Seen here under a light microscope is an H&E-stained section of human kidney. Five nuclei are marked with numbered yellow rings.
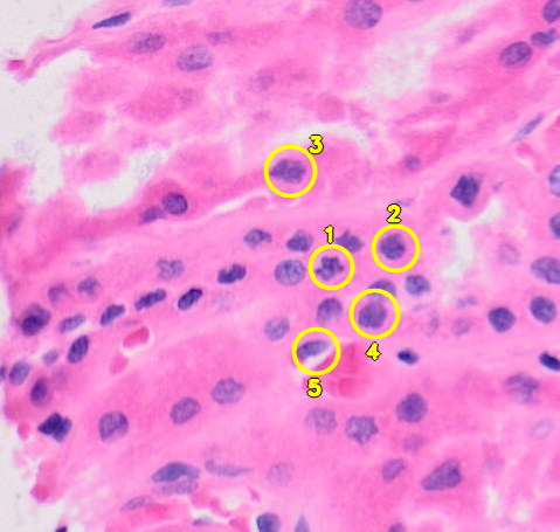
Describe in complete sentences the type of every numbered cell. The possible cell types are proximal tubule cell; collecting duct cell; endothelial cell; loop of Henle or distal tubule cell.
Cells 1, 2 and 4 are loop of Henle or distal tubule cells. Cell 3 is a proximal tubule cell. Cell 5 is an endothelial cell.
